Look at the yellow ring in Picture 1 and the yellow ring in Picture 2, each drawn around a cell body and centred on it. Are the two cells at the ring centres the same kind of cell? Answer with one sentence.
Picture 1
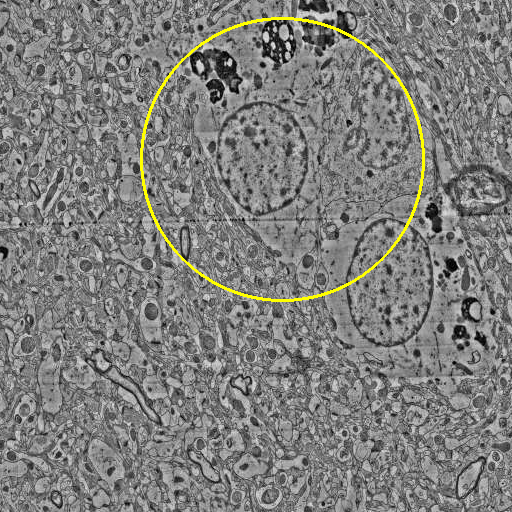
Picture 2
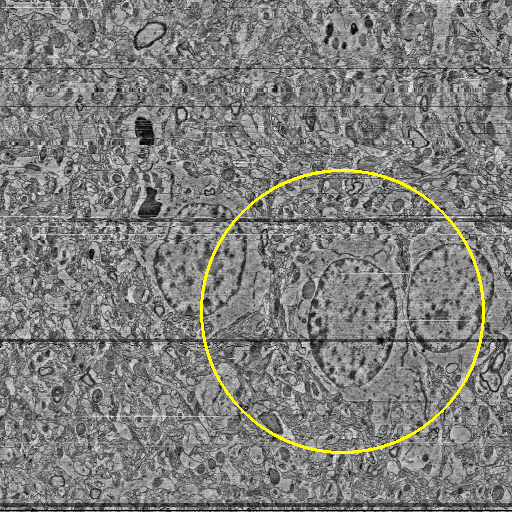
Yes, both are the same kind of cell.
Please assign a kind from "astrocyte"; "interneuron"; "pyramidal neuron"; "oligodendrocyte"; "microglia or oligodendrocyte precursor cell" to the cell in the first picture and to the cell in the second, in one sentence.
Both the first and the second picture show an astrocyte in the ring.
